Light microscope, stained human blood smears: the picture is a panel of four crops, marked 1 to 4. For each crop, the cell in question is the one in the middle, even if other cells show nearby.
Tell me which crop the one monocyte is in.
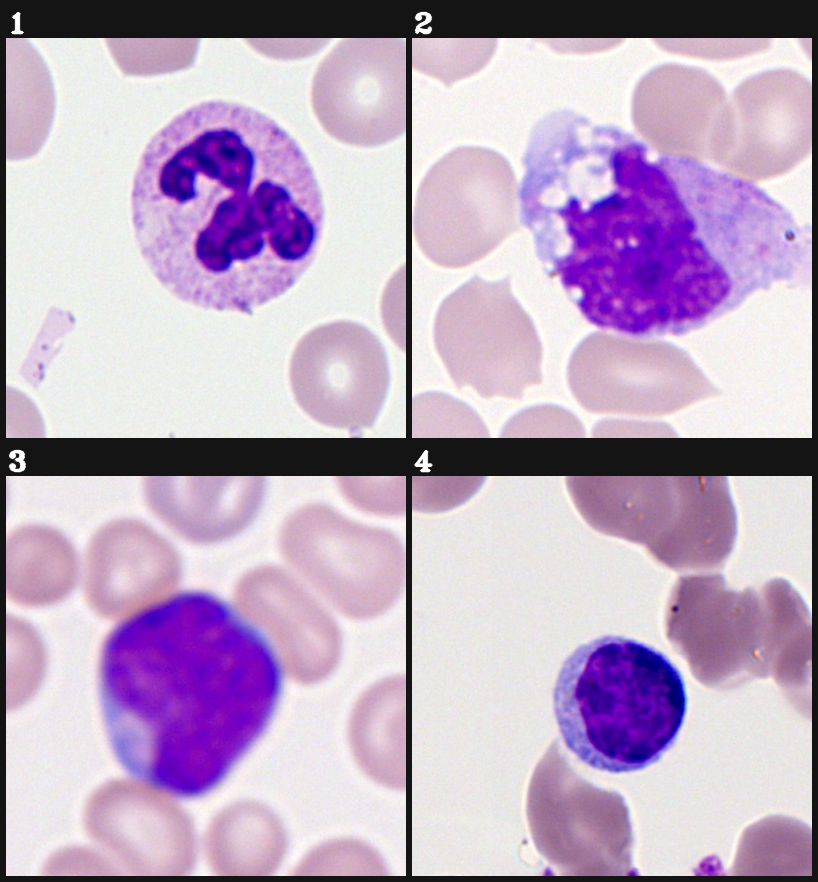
2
